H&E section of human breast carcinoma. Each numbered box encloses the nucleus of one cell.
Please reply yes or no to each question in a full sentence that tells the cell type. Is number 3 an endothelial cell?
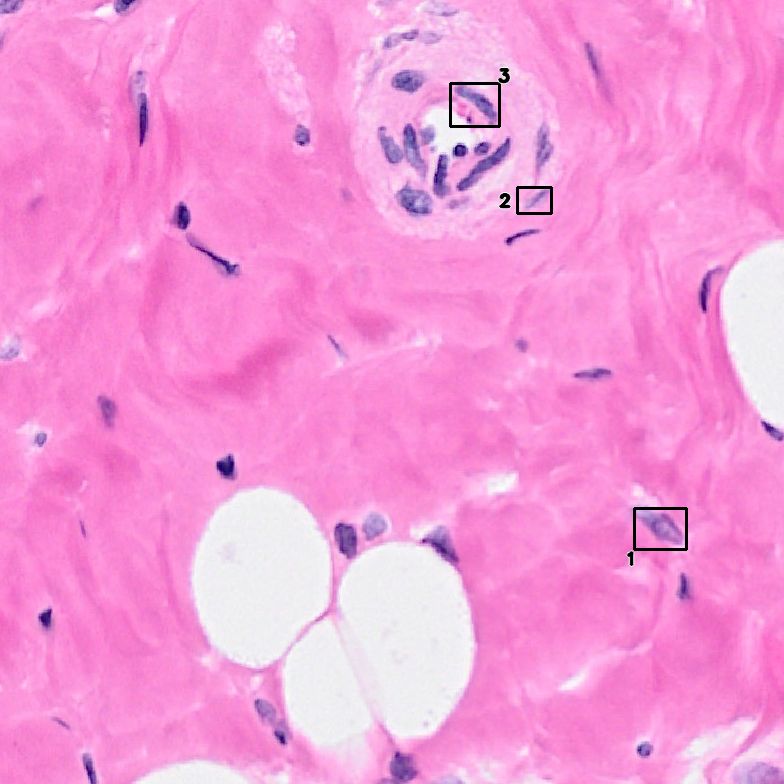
Yes, cell number 3 is identified here as an endothelial cell.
